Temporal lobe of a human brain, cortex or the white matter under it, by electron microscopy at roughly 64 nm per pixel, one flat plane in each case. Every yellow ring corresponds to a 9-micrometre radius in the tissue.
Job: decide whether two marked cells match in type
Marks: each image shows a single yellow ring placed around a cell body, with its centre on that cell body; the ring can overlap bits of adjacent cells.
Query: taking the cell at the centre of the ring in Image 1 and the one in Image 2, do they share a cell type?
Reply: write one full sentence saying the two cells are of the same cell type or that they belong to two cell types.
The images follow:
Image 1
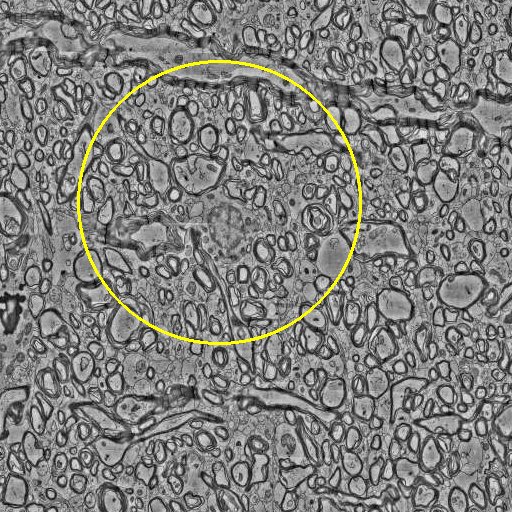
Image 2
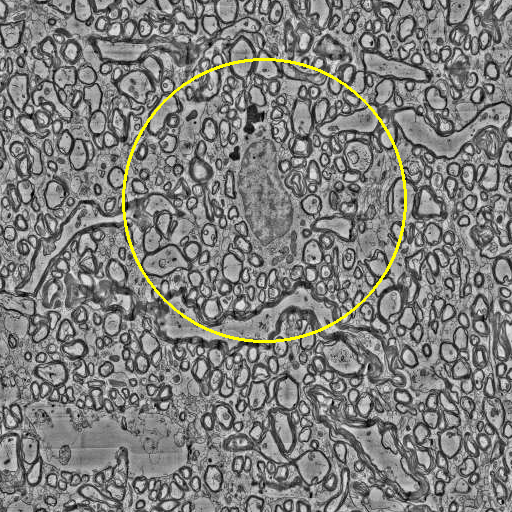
The cells at the ring centres in Image 1 and Image 2 are of the same cell type.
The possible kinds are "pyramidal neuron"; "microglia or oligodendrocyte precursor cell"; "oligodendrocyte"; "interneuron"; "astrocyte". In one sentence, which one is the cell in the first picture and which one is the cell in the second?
Each of the two rings is centred on an oligodendrocyte.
